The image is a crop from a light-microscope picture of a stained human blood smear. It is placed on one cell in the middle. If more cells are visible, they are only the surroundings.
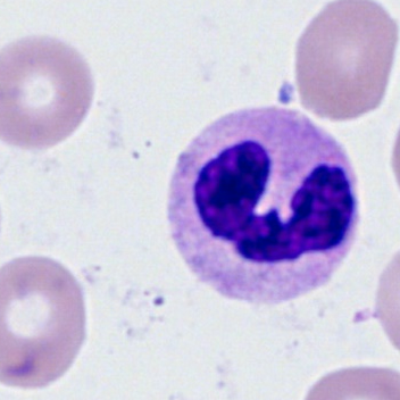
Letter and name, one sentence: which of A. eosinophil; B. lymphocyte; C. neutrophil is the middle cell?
The cell positioned centrally is a neutrophil, as given in option C, which is correct.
